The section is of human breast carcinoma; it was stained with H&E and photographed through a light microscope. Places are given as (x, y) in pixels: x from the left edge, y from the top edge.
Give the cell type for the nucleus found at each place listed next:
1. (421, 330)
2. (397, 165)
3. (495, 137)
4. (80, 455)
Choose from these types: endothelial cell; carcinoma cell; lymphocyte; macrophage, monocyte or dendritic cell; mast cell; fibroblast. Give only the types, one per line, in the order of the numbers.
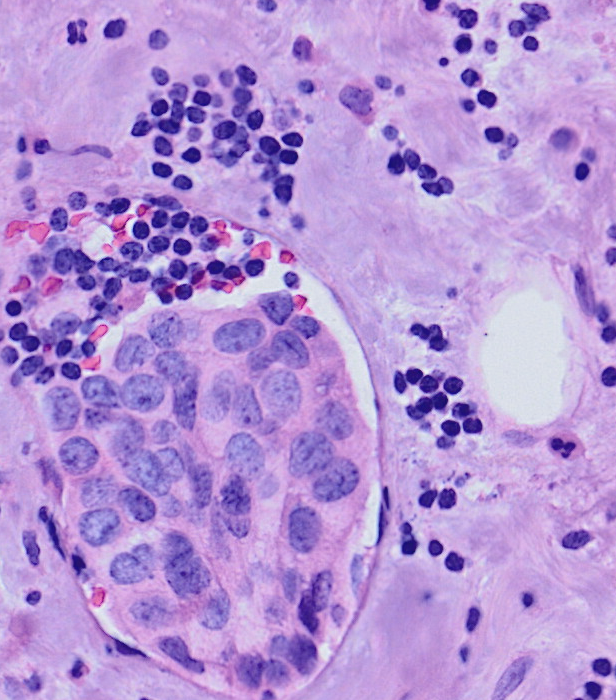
lymphocyte
lymphocyte
lymphocyte
carcinoma cell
